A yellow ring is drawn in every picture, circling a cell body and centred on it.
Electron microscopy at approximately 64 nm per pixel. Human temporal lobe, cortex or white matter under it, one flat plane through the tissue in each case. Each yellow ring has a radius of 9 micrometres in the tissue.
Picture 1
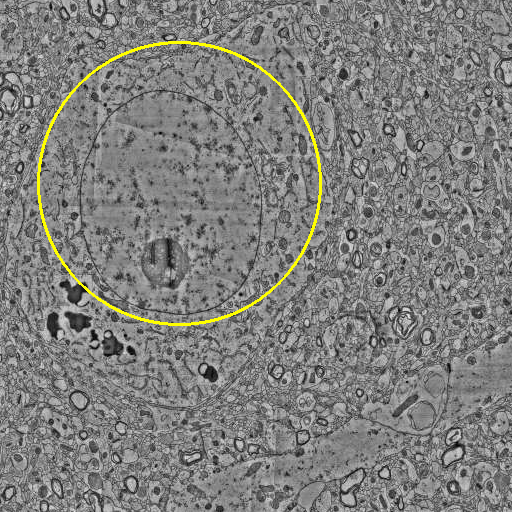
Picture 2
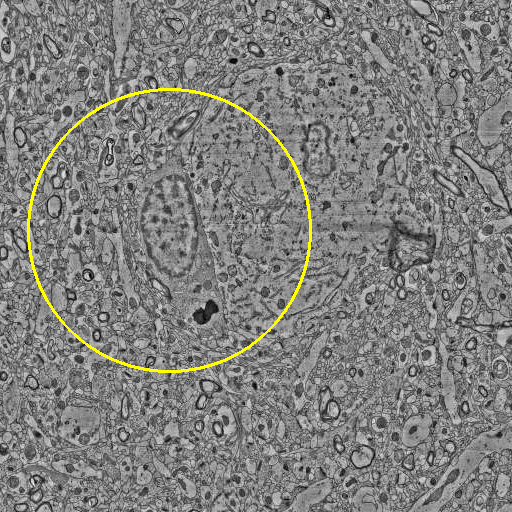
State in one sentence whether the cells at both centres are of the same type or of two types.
The cells at the two ring centres, one per picture, are of two types.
